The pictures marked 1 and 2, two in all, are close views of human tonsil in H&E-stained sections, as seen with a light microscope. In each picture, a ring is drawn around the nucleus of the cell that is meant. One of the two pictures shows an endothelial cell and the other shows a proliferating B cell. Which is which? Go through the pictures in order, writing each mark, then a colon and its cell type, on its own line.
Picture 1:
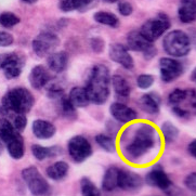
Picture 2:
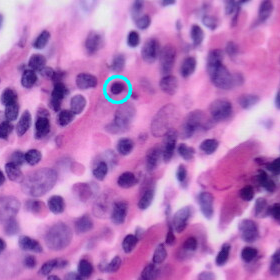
1: proliferating B cell
2: endothelial cell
